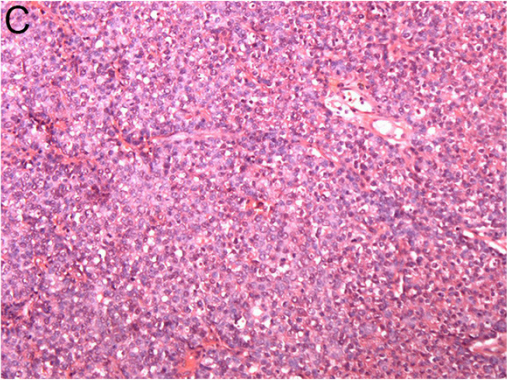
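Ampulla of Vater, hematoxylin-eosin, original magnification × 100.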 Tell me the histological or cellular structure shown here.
Sheets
